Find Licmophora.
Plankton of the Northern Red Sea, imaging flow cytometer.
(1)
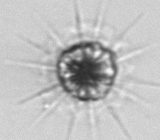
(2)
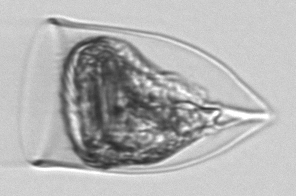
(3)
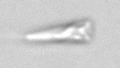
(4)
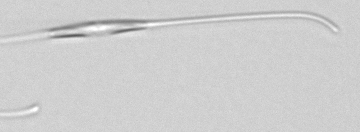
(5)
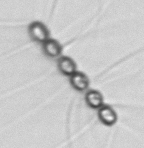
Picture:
3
